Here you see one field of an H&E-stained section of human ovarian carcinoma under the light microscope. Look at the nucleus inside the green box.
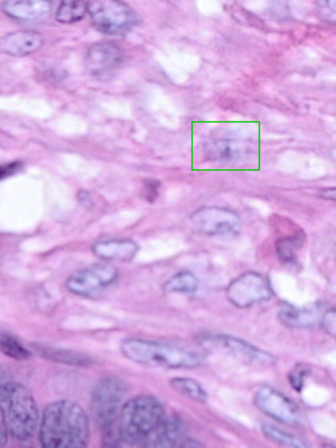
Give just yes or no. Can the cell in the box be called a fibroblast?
yes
